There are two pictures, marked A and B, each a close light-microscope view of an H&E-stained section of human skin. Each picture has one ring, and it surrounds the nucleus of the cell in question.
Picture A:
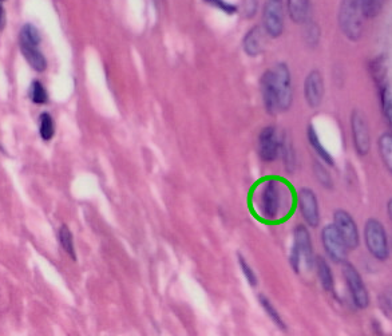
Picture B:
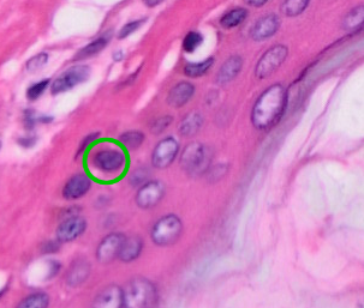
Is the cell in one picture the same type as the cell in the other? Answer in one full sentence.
Yes; the cells in both pictures are basal keratinocytes.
